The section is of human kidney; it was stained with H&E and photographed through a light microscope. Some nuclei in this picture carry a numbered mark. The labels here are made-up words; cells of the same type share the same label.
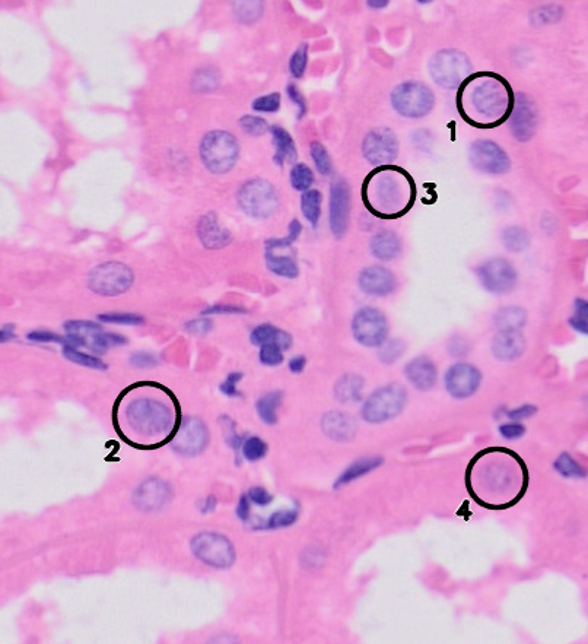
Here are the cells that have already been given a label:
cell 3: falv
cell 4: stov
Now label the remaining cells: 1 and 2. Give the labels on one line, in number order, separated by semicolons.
falv; stov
